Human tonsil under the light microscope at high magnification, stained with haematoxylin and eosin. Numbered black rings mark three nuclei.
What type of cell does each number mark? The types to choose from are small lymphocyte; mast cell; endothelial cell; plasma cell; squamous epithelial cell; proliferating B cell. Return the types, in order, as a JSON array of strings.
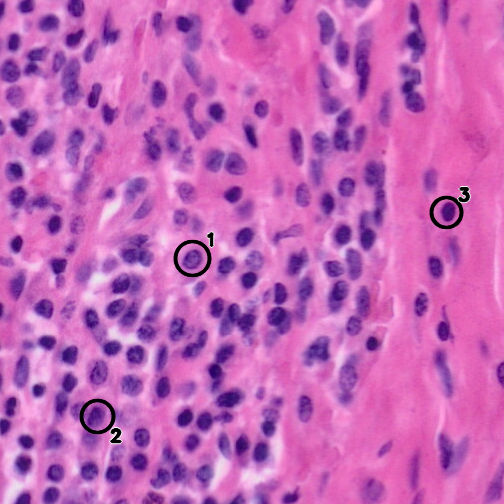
["plasma cell", "plasma cell", "mast cell"]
